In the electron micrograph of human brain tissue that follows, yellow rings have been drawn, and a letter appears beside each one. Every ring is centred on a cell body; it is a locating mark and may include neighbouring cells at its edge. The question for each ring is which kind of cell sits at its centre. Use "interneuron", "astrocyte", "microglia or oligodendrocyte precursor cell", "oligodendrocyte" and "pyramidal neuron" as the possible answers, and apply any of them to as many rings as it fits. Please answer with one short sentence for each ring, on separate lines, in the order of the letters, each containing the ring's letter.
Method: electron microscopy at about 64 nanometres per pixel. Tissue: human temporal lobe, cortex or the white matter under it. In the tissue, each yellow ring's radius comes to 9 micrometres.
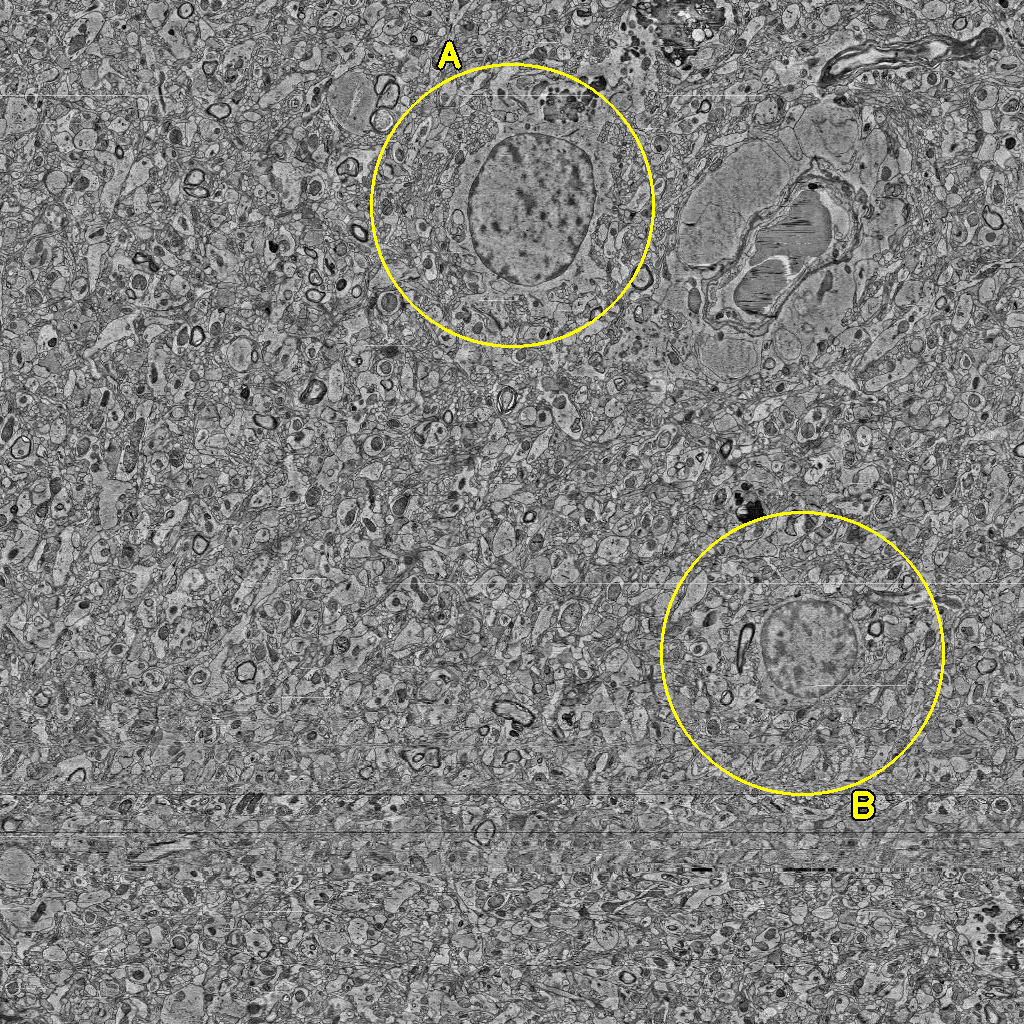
Sitting at the centre of ring A is an astrocyte.
Sitting at the centre of ring B is an oligodendrocyte.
